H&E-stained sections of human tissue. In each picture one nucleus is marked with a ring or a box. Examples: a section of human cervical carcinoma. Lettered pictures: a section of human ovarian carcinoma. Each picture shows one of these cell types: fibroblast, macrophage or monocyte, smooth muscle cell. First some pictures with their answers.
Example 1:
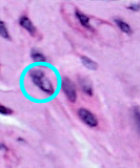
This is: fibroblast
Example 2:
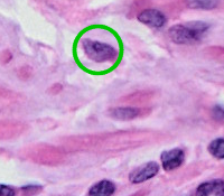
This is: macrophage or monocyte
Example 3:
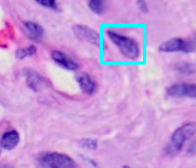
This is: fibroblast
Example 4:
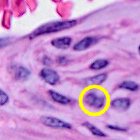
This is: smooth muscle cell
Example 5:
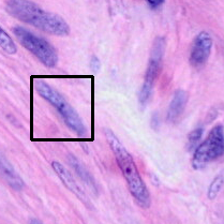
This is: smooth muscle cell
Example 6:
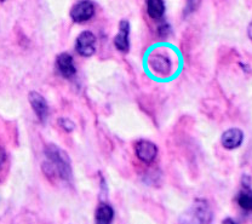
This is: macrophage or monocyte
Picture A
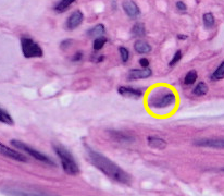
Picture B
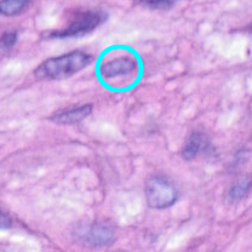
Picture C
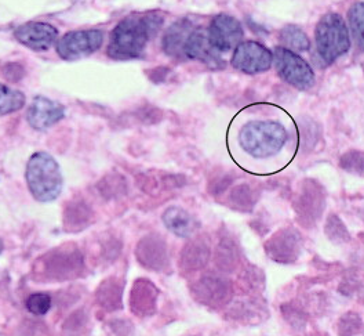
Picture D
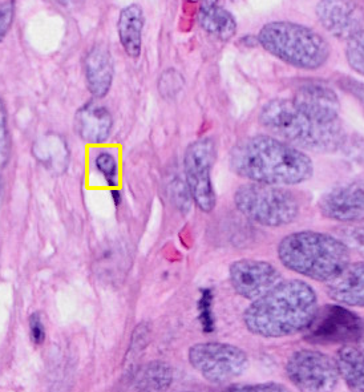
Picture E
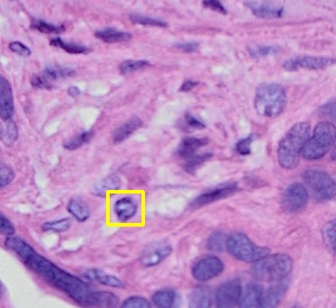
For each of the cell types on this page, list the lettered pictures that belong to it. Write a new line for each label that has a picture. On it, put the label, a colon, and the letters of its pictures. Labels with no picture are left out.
fibroblast: B
macrophage or monocyte: C, D, E
smooth muscle cell: A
